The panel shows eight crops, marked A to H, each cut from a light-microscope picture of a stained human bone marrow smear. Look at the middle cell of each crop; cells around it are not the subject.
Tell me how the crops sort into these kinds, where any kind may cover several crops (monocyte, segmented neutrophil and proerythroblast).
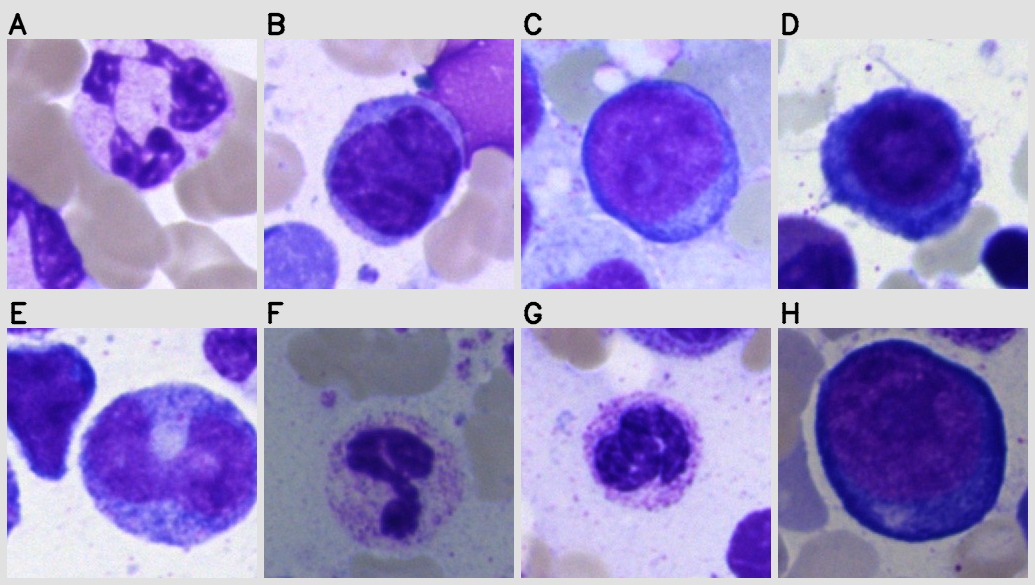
A: segmented neutrophil
B: monocyte
C: proerythroblast
D: proerythroblast
E: monocyte
F: segmented neutrophil
G: segmented neutrophil
H: proerythroblast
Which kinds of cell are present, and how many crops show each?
segmented neutrophil: 3
proerythroblast: 3
monocyte: 2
